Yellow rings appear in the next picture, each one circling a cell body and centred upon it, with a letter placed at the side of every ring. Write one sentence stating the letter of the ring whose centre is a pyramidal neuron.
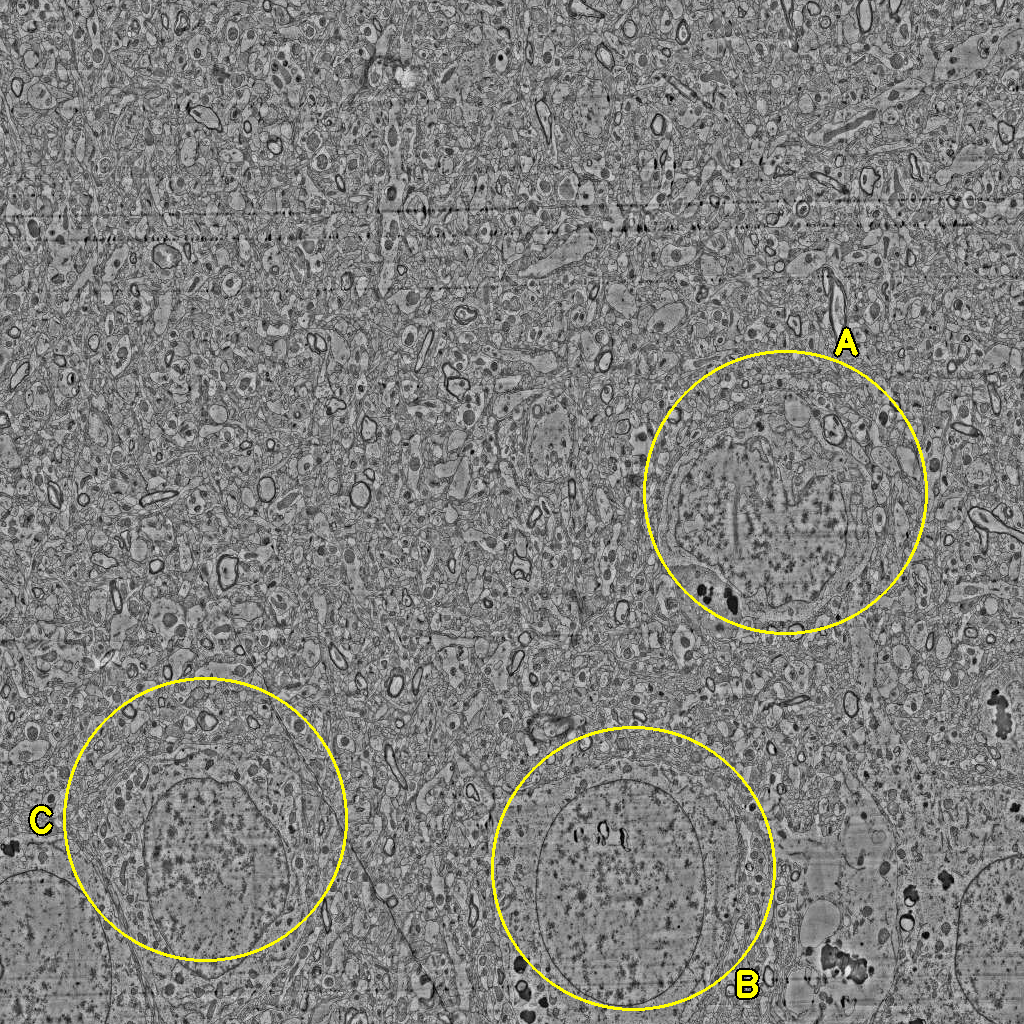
In the picture, the cell asked for lies at the centre of ring B.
